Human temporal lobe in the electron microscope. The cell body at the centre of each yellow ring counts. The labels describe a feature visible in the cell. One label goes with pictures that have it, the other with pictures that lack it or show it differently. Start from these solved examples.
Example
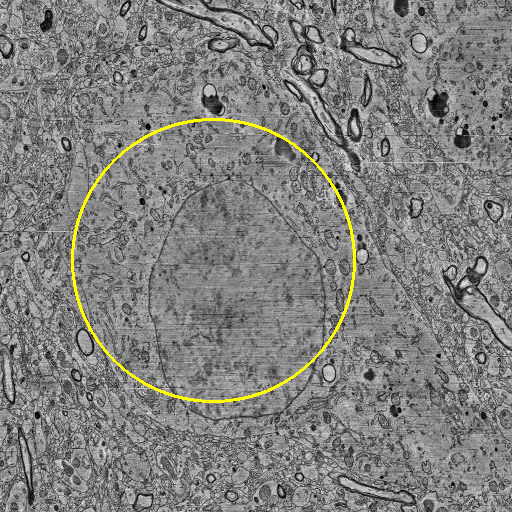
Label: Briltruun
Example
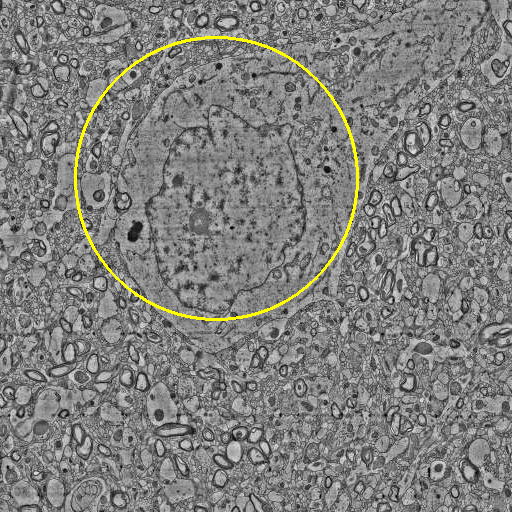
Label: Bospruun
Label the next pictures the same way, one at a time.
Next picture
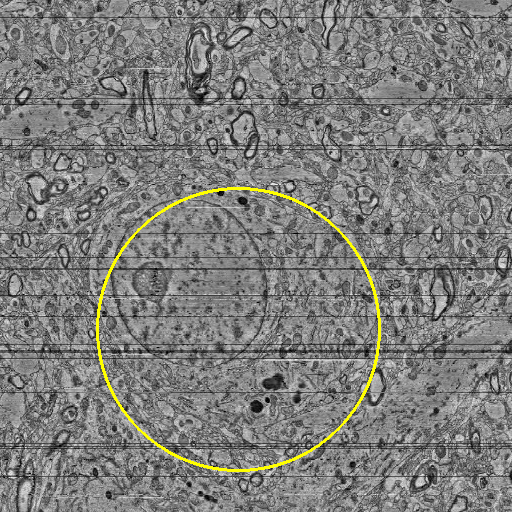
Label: Bospruun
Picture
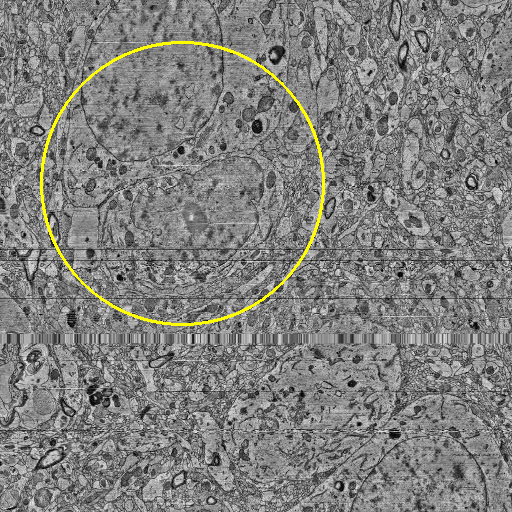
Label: Bospruun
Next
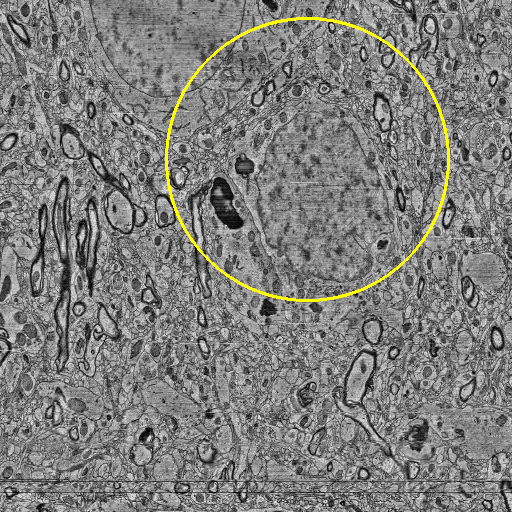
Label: Briltruun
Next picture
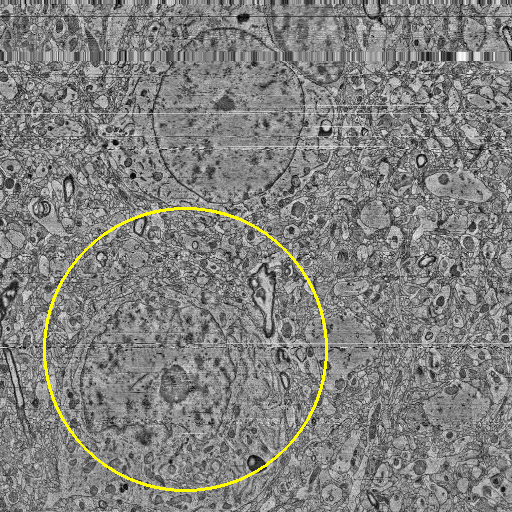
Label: Bospruun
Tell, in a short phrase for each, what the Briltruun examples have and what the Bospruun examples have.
Seen in Briltruun: no nucleolus seen; seen in Bospruun: nucleolus seen.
